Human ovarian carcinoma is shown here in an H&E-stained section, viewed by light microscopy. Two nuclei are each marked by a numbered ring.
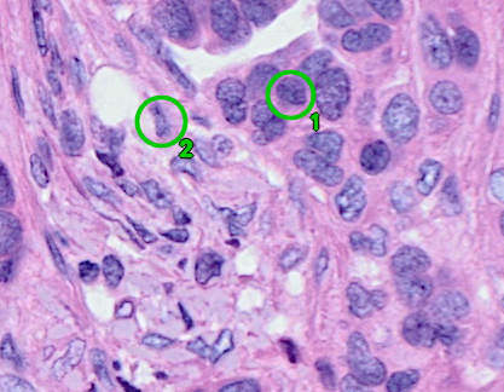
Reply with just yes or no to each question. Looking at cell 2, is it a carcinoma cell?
no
